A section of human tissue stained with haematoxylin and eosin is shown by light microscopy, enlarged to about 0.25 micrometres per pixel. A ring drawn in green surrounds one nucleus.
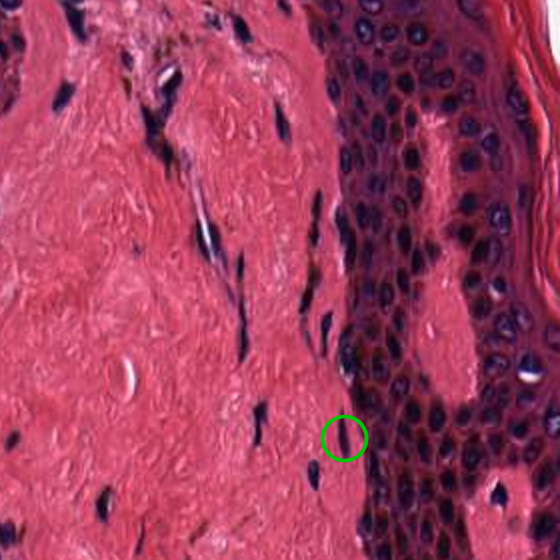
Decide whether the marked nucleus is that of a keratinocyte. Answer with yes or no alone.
no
